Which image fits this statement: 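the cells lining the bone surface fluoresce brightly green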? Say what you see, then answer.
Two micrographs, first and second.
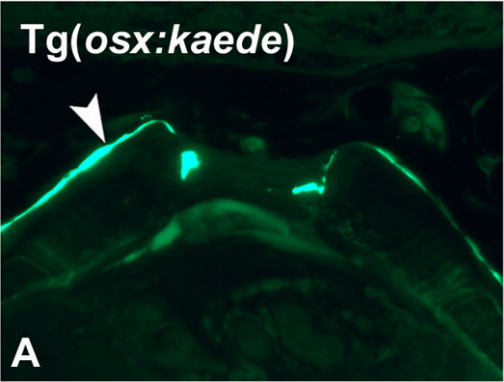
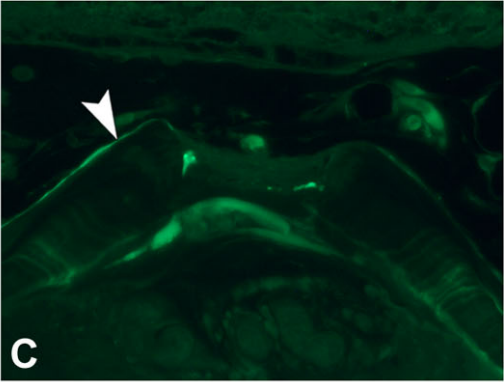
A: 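Second image: the lining layer at the arrowhead is only faintly green. On this evidence: the first image.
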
